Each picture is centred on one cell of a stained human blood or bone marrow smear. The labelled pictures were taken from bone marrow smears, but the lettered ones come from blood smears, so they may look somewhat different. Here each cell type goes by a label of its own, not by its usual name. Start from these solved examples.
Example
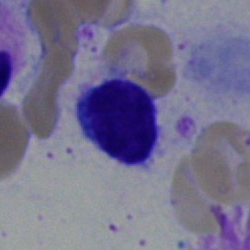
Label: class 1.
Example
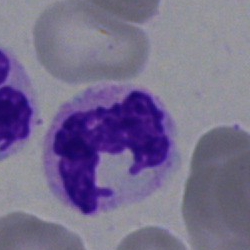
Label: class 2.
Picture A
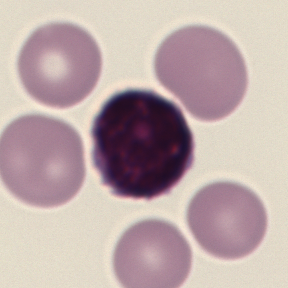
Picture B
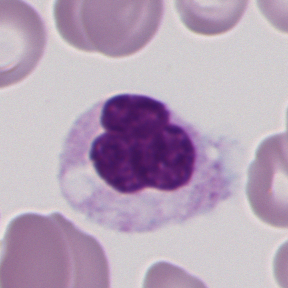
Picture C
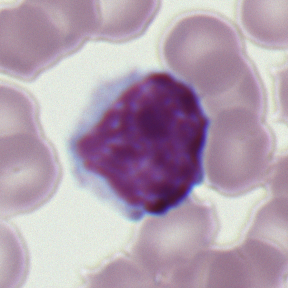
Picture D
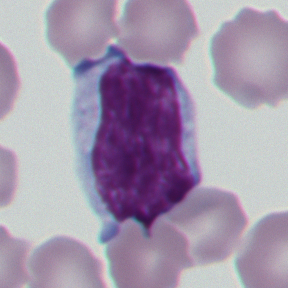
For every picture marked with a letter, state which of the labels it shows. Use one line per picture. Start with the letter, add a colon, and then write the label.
A: class 1.
B: class 2.
C: class 1.
D: class 1.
